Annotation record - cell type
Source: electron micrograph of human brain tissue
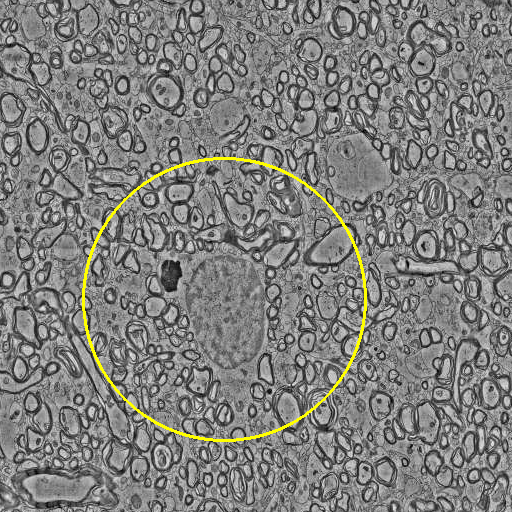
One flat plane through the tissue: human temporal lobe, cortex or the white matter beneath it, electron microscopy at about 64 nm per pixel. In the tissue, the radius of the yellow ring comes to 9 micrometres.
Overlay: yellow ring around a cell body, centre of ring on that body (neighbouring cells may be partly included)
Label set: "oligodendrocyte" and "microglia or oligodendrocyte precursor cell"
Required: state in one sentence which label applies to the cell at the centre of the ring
This cell should be labelled as an oligodendrocyte.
